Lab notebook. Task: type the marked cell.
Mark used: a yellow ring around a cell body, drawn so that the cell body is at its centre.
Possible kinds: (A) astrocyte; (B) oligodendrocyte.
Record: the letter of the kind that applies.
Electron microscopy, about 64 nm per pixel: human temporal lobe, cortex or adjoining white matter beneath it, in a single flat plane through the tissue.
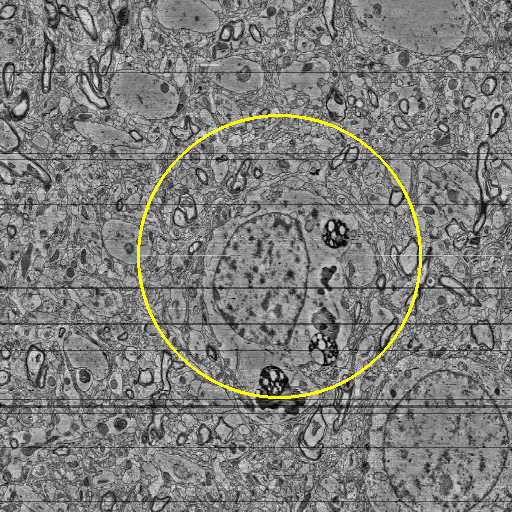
A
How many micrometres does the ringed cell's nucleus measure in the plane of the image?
Approximately 9 x 6 micrometres in this plane.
